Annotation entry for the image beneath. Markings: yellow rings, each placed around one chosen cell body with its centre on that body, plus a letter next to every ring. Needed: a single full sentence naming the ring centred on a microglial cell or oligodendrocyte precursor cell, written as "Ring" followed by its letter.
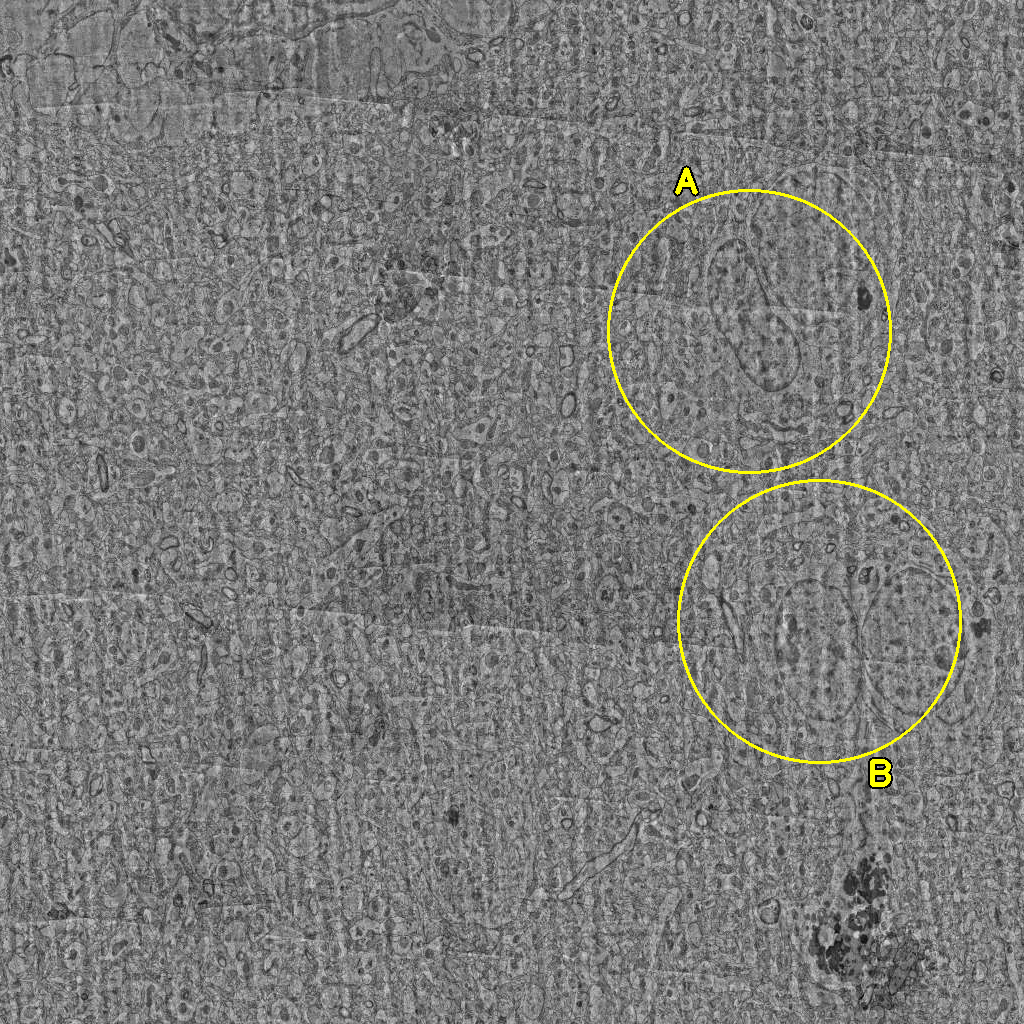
The image shows the cell in question at the centre of Ring A.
